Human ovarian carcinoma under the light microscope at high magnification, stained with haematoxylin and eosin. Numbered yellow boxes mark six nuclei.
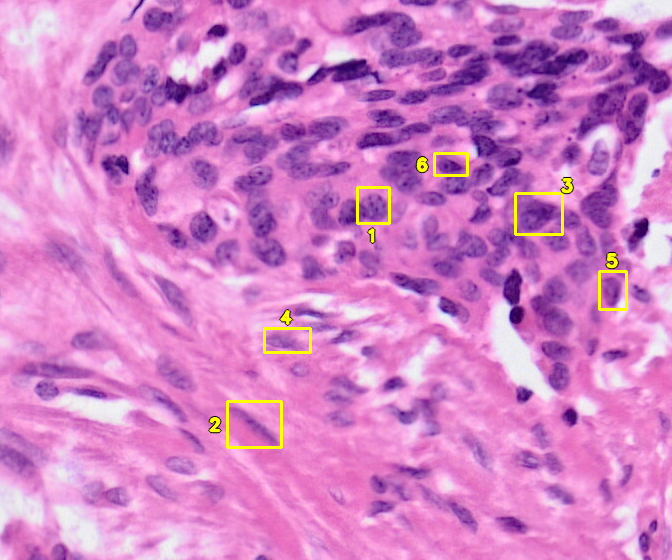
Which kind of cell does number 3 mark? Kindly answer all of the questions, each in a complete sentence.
Among the marked nuclei, number 3 belongs to a carcinoma cell.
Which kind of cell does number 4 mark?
Cell 4 should be recorded as a fibroblast.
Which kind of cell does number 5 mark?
The marked nucleus 5 is that of a carcinoma cell.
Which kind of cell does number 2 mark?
The marked cell with the number 2 is recognised as a fibroblast.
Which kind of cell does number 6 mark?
The numeral 6 marks a carcinoma cell in this section.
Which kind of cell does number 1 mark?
Regarding cell 1, this one is a carcinoma cell.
